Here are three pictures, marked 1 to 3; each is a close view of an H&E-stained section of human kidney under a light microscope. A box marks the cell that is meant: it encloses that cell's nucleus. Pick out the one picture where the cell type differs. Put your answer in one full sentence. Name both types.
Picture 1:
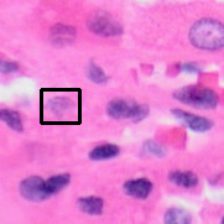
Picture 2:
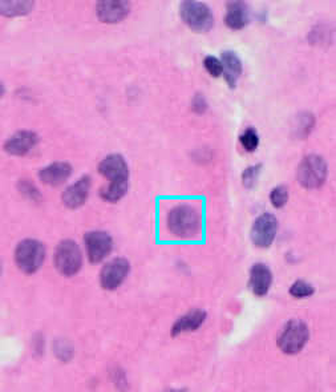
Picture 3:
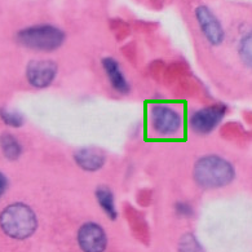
The others show “loop of Henle or distal tubule cells”, but picture 2 shows a proximal tubule cell.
